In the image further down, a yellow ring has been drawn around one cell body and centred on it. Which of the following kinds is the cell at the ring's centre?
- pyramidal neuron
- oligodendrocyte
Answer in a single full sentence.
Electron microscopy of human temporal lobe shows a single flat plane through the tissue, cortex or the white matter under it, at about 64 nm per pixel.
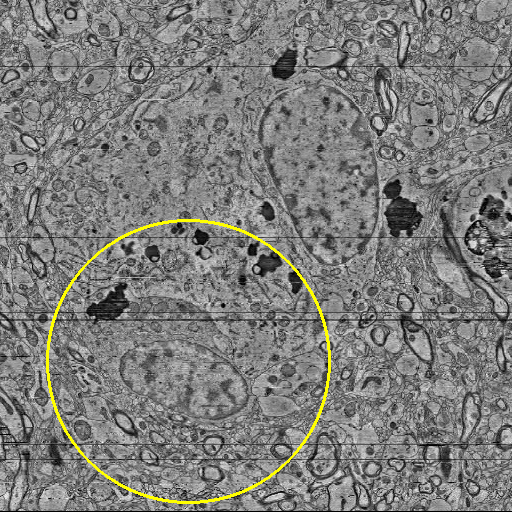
In the picture, the cell sitting at the centre of the yellow ring is an oligodendrocyte.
